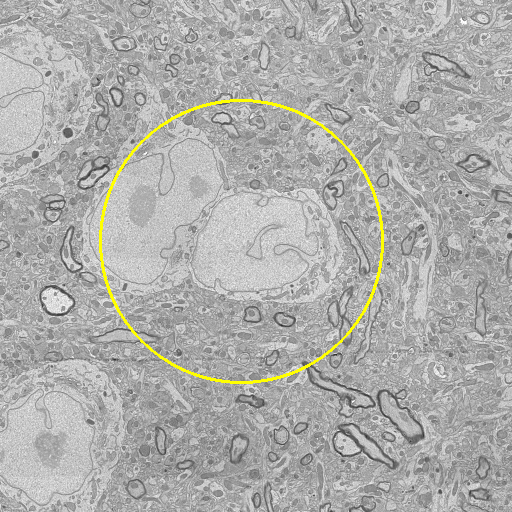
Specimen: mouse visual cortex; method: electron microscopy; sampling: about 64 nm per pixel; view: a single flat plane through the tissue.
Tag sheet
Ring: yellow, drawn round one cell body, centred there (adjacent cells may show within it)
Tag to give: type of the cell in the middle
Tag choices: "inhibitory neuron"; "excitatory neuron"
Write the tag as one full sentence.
I tag the cell centred in the yellow ring as an inhibitory neuron in this picture.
